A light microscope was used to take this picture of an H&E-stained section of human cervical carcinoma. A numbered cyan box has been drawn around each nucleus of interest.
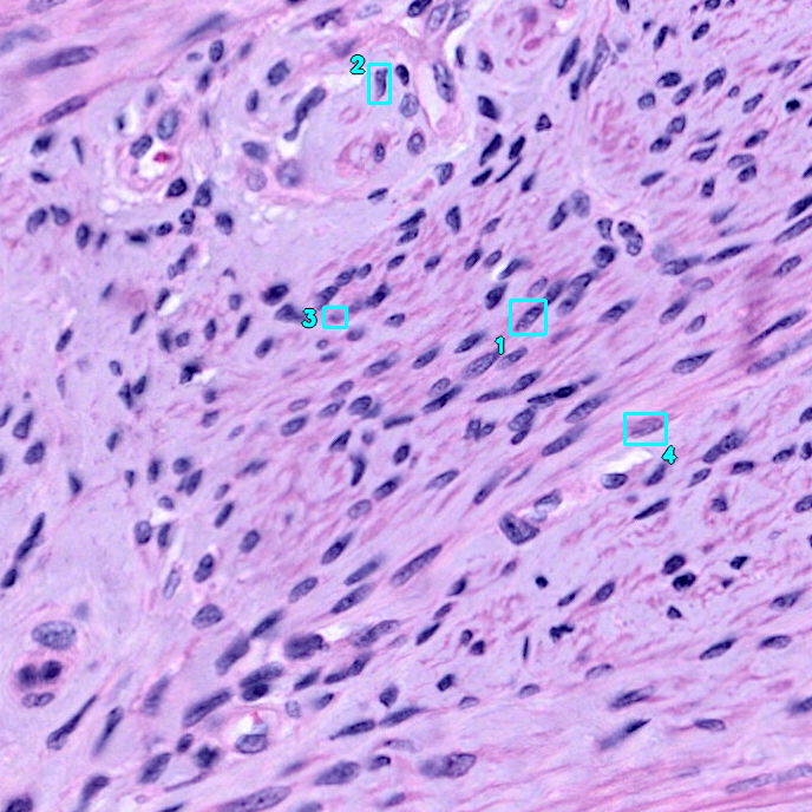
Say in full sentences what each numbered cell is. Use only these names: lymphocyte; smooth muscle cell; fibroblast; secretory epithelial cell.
Cell 1 is a smooth muscle cell, cell 2 is a fibroblast, cell 3 is a smooth muscle cell and cell 4 is a smooth muscle cell.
